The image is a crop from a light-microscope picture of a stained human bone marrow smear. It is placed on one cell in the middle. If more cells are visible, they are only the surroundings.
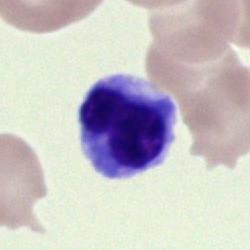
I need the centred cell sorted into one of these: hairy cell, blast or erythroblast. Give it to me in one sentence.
Framed in the middle of the crop is an erythroblast.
